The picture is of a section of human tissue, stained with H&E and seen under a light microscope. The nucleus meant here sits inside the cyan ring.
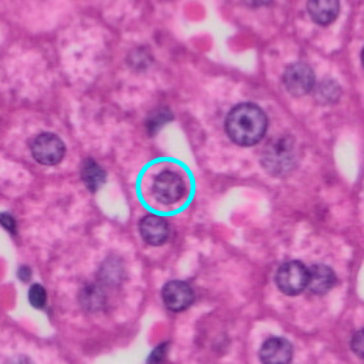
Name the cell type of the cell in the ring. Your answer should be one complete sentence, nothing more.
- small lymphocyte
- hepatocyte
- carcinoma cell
So far as cell type goes, the cell in the ring is a hepatocyte.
